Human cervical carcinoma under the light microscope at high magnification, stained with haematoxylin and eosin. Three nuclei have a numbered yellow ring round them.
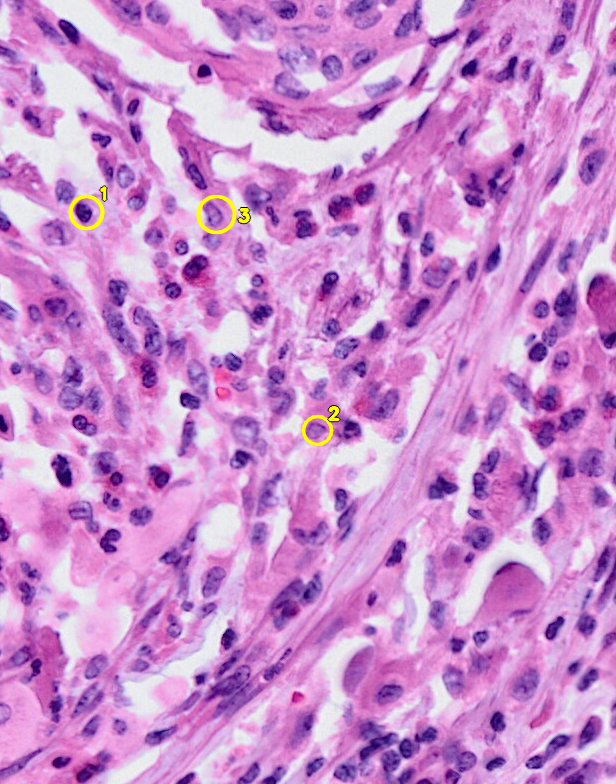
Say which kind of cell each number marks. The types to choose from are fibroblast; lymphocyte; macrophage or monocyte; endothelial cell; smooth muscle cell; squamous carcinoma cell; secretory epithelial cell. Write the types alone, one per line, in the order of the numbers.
lymphocyte
macrophage or monocyte
macrophage or monocyte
